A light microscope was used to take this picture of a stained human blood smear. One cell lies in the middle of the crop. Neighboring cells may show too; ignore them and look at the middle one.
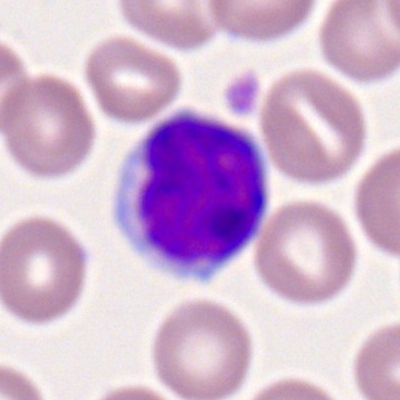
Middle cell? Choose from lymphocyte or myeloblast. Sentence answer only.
The middle position in this crop is taken by a lymphocyte.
